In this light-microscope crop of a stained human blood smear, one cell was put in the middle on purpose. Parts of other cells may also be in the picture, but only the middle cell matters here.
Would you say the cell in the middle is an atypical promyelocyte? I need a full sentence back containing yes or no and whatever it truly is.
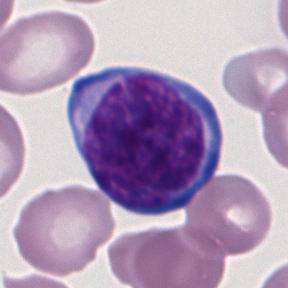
No, the middle of this crop is occupied by a myeloblast rather than an atypical promyelocyte.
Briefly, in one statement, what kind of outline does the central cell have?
Edge check done: smooth outline, no projections present.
